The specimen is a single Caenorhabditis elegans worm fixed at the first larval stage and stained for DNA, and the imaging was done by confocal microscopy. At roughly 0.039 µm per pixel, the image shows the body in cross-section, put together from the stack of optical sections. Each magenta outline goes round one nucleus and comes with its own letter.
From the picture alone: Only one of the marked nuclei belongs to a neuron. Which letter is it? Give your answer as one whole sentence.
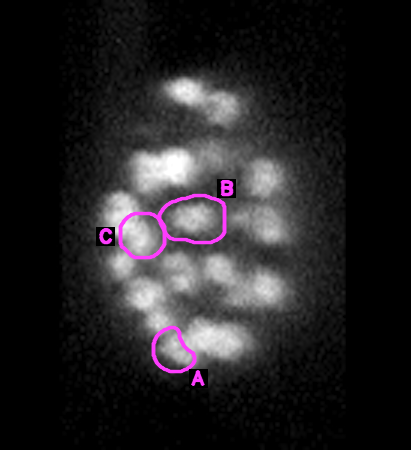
Of the marked nuclei, C is the one in a neuron.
